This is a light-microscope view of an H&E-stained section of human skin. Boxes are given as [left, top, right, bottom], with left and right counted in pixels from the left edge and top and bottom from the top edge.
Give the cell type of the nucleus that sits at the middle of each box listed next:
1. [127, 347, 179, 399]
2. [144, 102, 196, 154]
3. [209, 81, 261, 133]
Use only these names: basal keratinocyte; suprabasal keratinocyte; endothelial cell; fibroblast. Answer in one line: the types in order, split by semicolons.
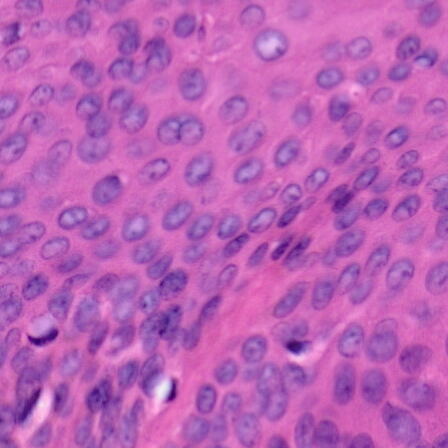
basal keratinocyte; suprabasal keratinocyte; suprabasal keratinocyte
